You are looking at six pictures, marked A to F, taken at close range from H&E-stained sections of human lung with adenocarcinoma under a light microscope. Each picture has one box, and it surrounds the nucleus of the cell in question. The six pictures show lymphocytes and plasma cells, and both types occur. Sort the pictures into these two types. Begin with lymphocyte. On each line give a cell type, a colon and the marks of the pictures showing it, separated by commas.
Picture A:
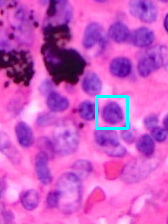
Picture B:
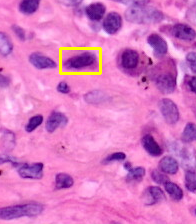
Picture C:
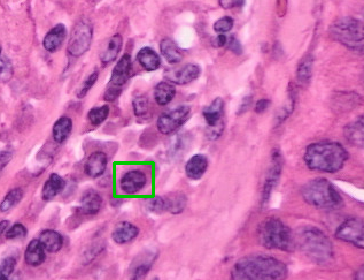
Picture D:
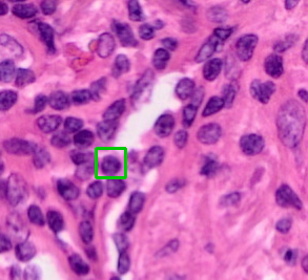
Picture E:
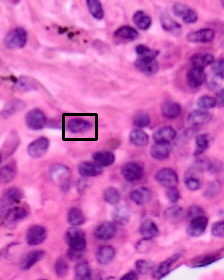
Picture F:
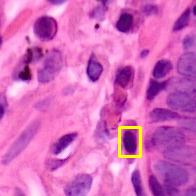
lymphocyte: A, D
plasma cell: B, C, E, F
